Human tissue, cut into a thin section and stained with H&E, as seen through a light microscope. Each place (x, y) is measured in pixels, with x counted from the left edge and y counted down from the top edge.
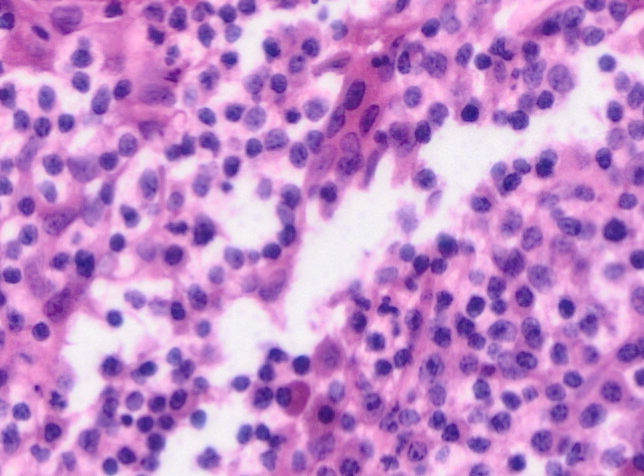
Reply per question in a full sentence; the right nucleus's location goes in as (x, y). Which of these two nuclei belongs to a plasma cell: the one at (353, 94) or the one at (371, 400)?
Of the two, the nucleus lying at (371, 400) is the one belonging to a plasma cell.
